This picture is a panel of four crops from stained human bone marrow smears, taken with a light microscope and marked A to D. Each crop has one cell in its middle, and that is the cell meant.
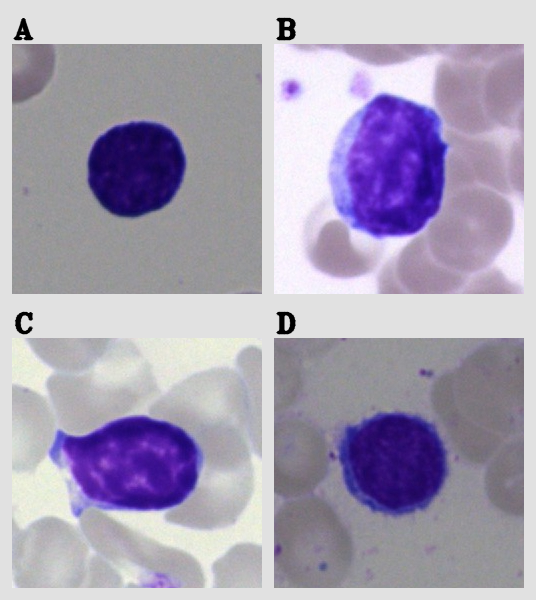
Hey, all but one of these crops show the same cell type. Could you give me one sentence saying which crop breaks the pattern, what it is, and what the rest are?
Of all the crops, only crop A shows a blast; the others show lymphocytes.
